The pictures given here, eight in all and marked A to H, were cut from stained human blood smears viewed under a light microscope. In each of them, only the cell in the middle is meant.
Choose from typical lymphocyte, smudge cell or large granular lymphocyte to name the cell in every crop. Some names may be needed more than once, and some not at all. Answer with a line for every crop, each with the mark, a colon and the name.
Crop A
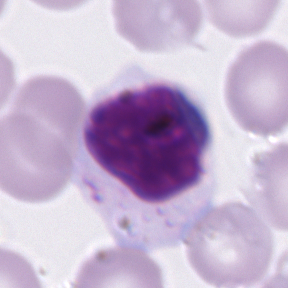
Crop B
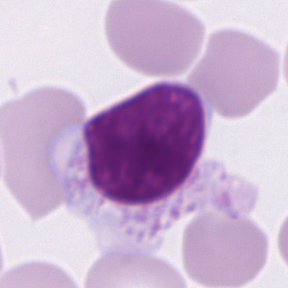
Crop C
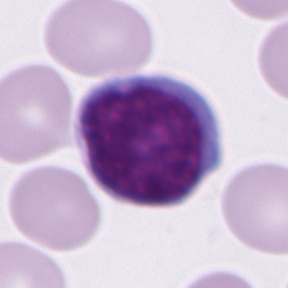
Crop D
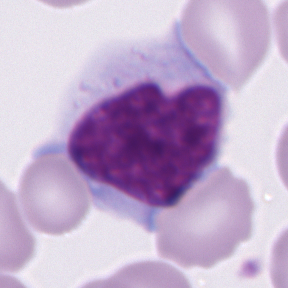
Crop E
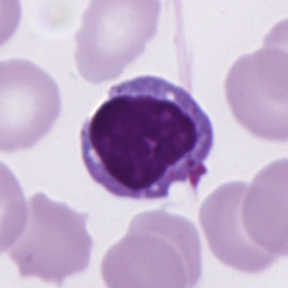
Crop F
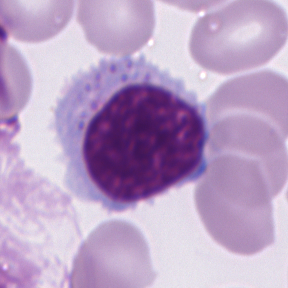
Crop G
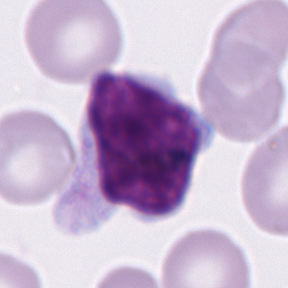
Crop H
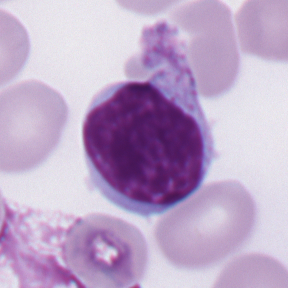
A: large granular lymphocyte
B: large granular lymphocyte
C: typical lymphocyte
D: large granular lymphocyte
E: typical lymphocyte
F: large granular lymphocyte
G: large granular lymphocyte
H: large granular lymphocyte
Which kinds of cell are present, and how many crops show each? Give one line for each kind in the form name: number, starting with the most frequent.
large granular lymphocyte: 6
typical lymphocyte: 2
